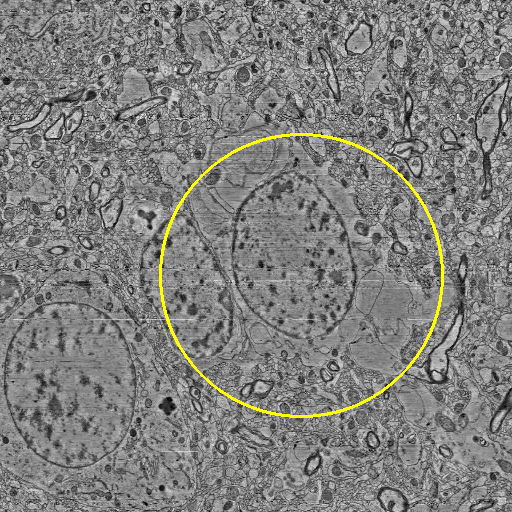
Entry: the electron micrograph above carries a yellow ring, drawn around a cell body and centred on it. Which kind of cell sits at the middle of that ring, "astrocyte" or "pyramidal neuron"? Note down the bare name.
astrocyte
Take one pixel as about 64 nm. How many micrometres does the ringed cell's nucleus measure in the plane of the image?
About 11 by 8 micrometres in this plane.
